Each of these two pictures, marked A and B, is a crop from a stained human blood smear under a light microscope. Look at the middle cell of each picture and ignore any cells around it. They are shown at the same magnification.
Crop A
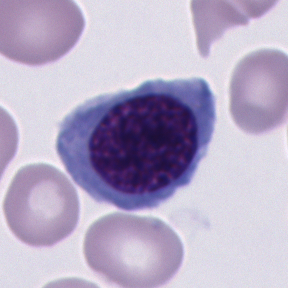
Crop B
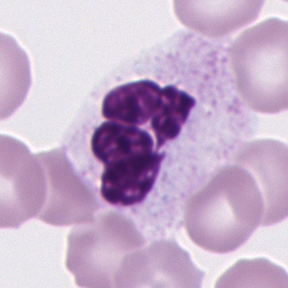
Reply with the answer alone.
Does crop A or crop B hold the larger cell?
B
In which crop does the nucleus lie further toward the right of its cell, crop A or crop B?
A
